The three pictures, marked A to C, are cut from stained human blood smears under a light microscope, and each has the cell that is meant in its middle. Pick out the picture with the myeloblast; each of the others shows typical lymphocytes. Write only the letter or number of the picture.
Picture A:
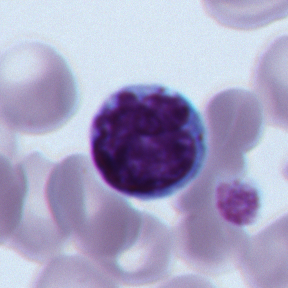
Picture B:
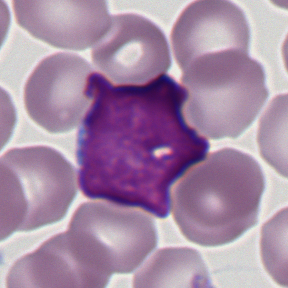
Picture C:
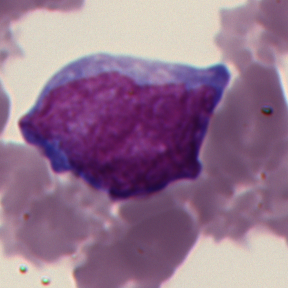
C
